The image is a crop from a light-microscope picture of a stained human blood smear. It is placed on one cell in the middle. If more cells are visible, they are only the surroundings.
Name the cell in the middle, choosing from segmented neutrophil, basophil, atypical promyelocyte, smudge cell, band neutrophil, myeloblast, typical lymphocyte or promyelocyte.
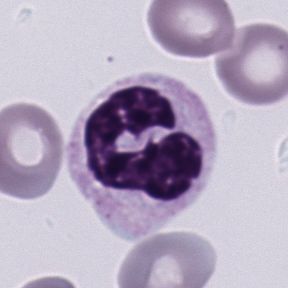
band neutrophil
